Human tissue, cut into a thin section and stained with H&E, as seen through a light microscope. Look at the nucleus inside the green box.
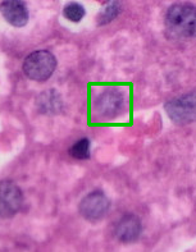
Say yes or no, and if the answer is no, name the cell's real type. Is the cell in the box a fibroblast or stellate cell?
No, it is a hepatocyte.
